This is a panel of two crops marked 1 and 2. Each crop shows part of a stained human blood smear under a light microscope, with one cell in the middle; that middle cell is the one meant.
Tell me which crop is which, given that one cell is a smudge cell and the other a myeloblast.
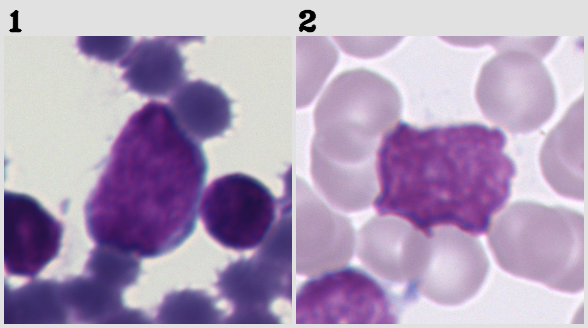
1: myeloblast
2: smudge cell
